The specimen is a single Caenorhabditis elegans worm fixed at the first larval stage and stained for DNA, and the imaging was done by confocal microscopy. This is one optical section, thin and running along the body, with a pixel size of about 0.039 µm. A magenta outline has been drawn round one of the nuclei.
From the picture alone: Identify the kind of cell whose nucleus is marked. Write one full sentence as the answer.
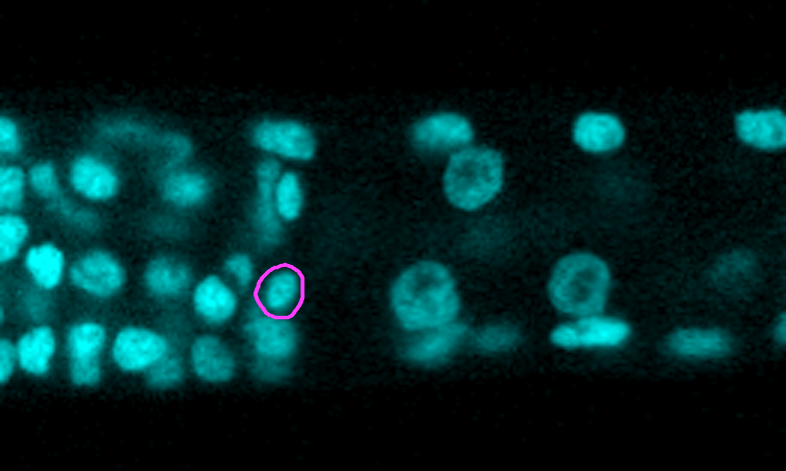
This is the nucleus of a valve cell of the gut.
